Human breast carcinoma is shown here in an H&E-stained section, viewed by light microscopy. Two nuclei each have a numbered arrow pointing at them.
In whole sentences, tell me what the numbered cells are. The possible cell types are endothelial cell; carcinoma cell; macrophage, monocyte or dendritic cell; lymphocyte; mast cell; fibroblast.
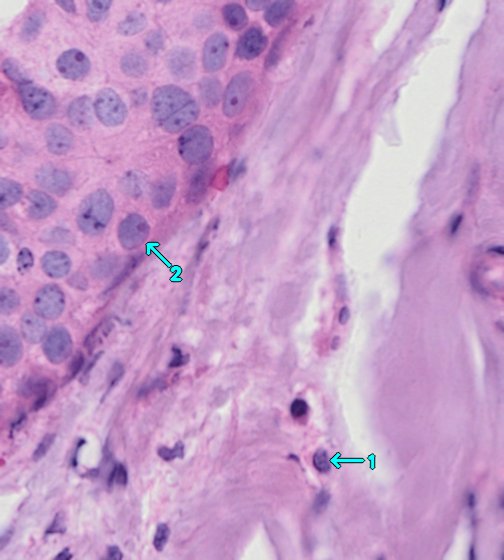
Cell 1 is a mast cell. Cell 2 is a carcinoma cell.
